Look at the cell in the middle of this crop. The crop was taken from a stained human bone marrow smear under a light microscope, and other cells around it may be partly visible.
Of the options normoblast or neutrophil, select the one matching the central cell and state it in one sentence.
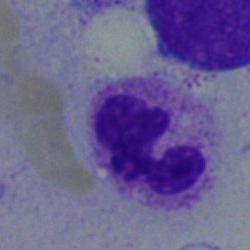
For this crop, the cell in the middle is a neutrophil.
